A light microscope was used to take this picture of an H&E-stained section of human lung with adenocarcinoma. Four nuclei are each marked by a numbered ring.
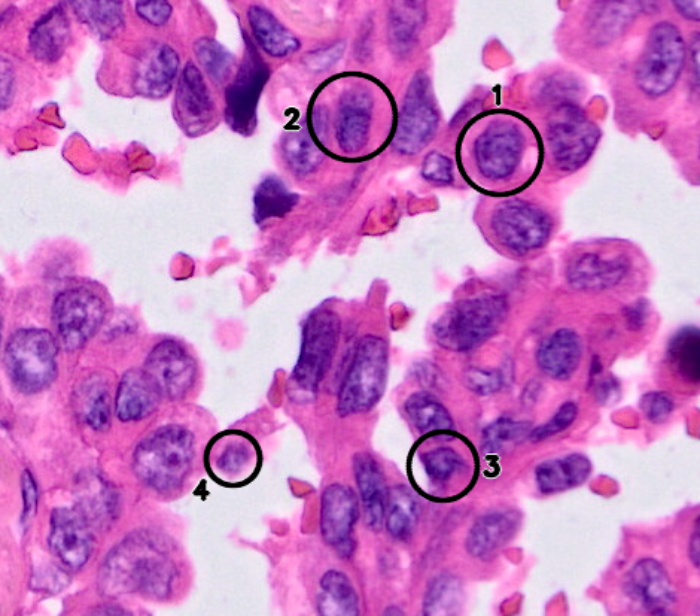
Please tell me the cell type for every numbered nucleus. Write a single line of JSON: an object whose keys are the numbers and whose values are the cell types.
{"1": "carcinoma cell", "2": "carcinoma cell", "3": "carcinoma cell", "4": "macrophage or monocyte"}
